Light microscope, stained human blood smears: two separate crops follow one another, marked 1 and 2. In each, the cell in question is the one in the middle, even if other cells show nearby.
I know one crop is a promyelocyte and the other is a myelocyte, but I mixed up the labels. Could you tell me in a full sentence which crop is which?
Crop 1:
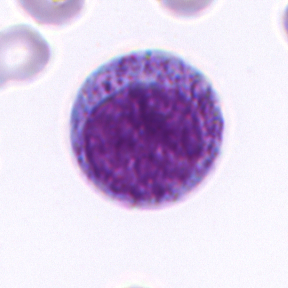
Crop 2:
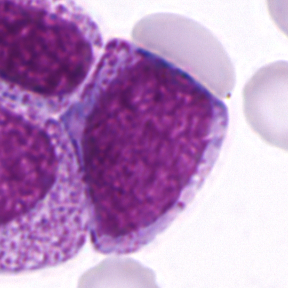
Crop 1 should be reported as a myelocyte, and crop 2 as a promyelocyte.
